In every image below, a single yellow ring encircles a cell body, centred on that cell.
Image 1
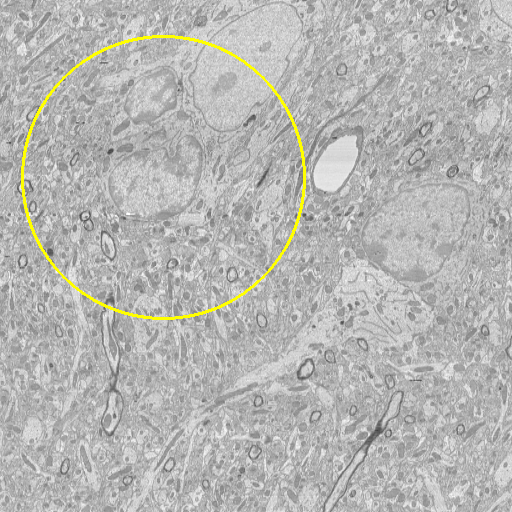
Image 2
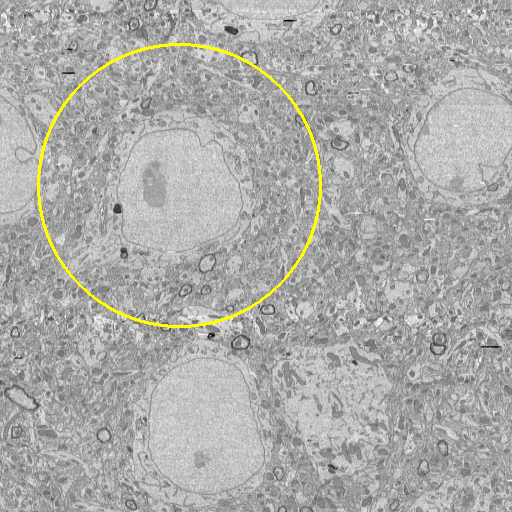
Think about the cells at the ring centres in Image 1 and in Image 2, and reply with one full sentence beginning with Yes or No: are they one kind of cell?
No, the cells centred in the rings of Image 1 and Image 2 are two kinds of cell.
